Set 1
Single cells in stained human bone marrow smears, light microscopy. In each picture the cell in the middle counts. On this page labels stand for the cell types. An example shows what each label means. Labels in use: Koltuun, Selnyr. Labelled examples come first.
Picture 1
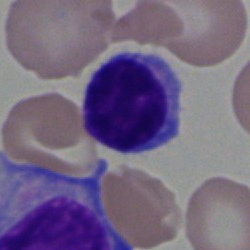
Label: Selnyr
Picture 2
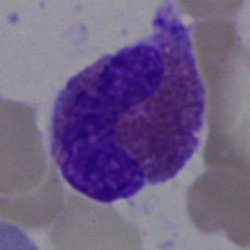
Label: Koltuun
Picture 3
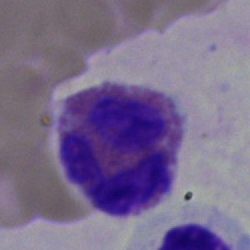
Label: Koltuun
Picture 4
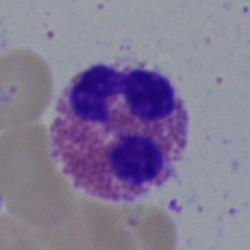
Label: Koltuun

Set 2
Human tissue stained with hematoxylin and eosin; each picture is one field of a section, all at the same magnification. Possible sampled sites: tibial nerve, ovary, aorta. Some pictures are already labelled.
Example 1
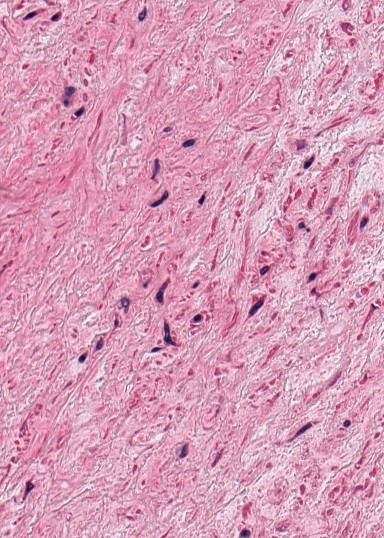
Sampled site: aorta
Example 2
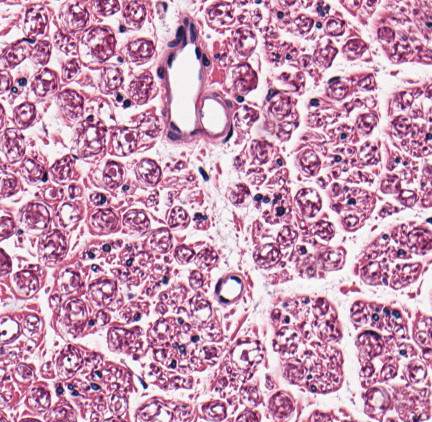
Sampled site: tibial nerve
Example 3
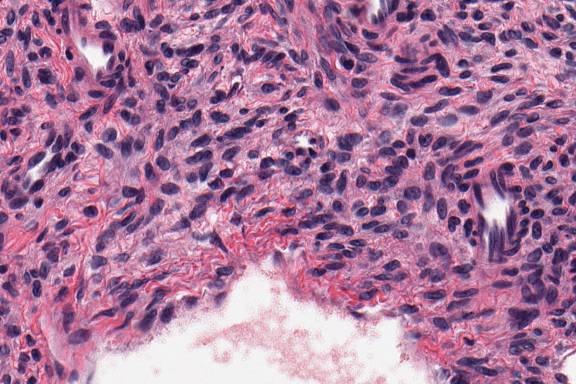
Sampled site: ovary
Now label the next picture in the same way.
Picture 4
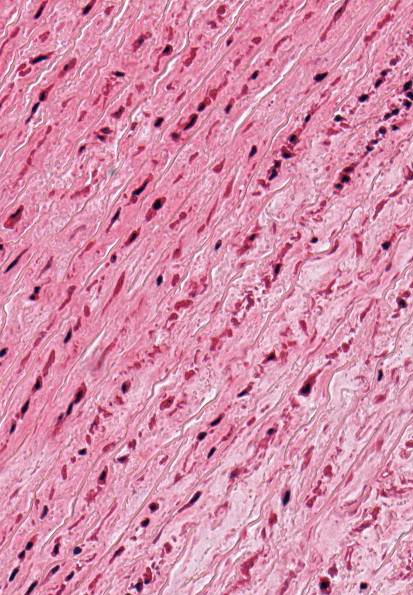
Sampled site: aorta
